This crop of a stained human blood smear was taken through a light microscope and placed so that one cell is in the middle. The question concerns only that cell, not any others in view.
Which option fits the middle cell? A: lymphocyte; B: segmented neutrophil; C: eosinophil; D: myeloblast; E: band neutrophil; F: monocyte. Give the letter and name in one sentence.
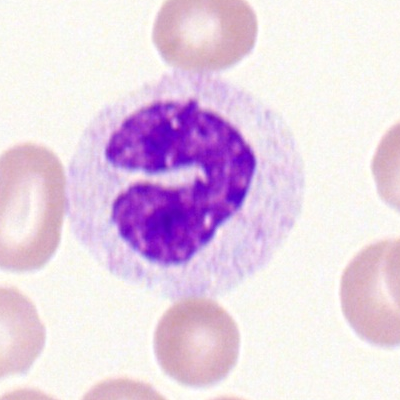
The central cell, a band neutrophil, is correctly identified by option E.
